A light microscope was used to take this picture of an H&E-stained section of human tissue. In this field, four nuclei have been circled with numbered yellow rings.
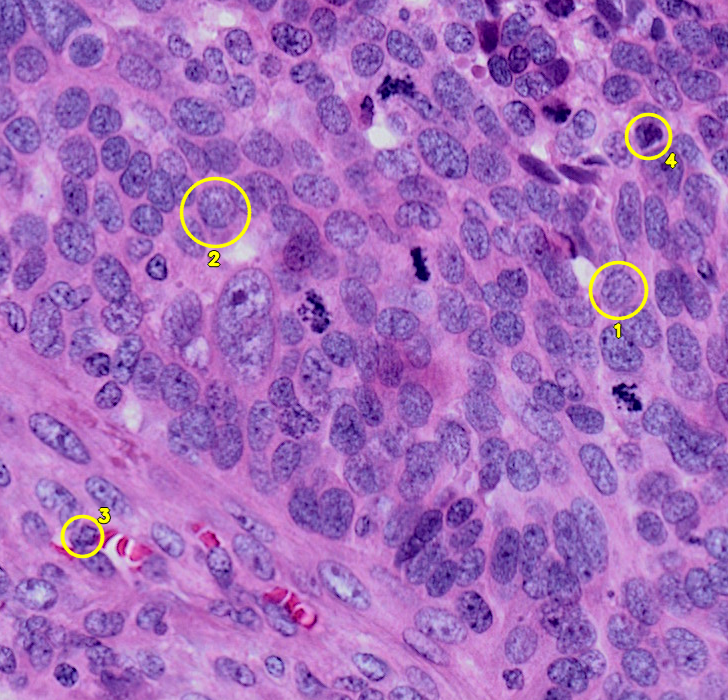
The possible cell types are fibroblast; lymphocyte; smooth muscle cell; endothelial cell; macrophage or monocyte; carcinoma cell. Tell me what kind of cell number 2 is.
carcinoma cell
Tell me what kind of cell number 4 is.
carcinoma cell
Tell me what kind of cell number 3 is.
endothelial cell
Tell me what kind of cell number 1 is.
carcinoma cell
